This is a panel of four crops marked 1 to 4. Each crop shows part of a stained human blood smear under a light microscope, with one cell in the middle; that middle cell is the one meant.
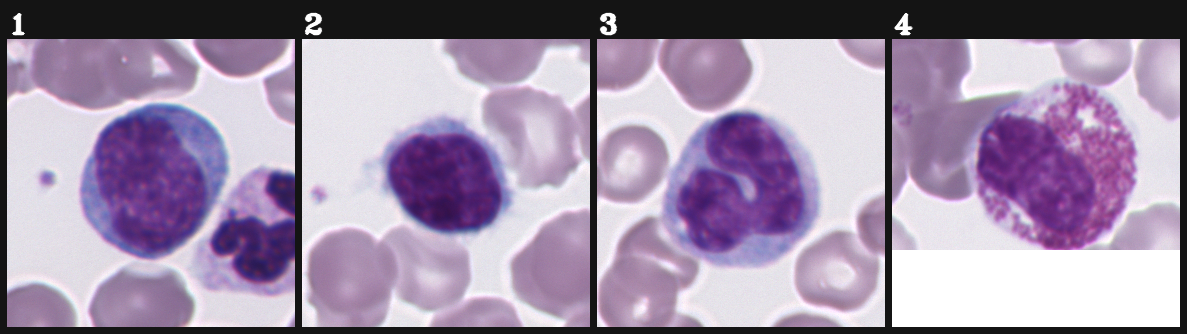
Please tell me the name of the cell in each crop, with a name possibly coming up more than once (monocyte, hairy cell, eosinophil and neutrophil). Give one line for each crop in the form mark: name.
1: monocyte
2: hairy cell
3: monocyte
4: eosinophil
